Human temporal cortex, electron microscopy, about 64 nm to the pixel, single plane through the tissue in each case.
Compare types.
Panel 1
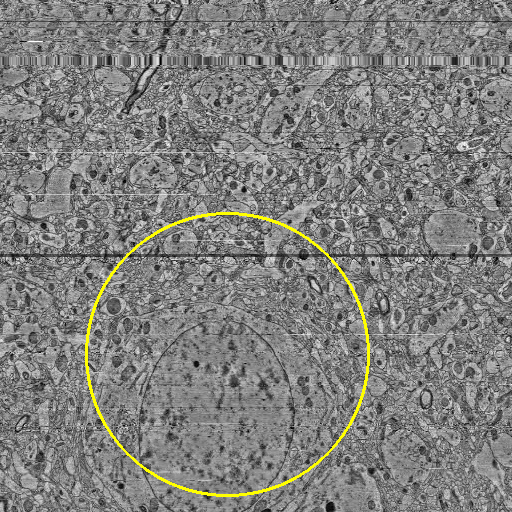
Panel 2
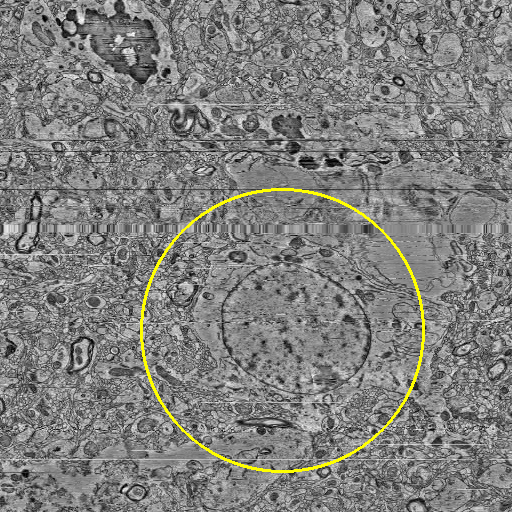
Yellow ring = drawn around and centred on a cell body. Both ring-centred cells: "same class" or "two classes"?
two classes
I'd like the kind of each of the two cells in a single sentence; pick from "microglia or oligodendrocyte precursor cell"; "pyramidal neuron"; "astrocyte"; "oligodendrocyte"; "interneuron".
The first ring marks a pyramidal neuron, and the second ring marks an astrocyte.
